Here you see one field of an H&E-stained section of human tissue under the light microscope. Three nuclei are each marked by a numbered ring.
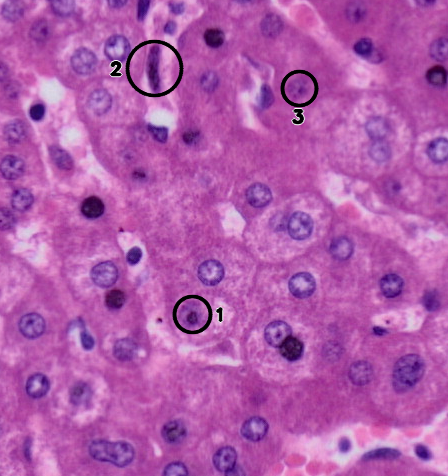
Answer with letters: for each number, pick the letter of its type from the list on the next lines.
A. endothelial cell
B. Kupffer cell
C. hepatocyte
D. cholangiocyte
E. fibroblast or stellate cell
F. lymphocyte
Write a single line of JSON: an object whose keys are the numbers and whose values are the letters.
{"1": "C", "2": "B", "3": "C"}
